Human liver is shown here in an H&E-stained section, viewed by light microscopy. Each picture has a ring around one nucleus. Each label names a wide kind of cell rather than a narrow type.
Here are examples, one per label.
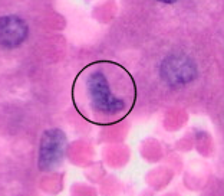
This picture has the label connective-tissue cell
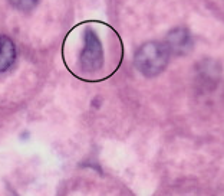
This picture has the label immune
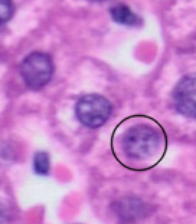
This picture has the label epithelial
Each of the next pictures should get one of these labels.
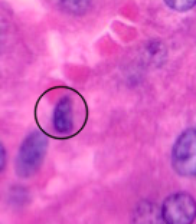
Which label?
connective-tissue cell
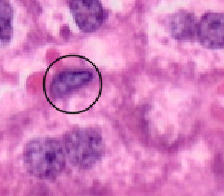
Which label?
immune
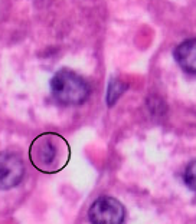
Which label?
immune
